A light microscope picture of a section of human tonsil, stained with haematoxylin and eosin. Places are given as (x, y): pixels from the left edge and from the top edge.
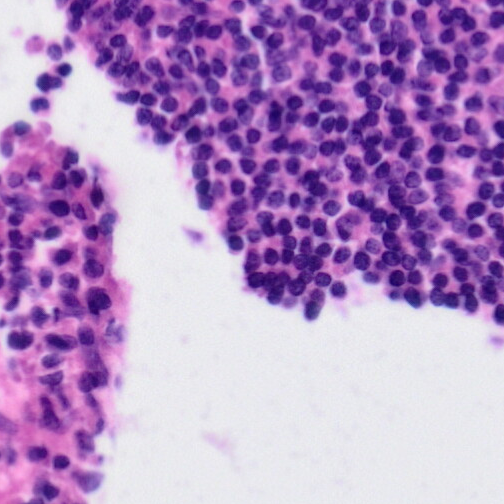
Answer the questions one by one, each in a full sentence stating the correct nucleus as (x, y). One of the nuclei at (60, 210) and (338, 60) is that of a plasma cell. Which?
Of these two nuclei, it is the one at (60, 210) that belongs to a plasma cell.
